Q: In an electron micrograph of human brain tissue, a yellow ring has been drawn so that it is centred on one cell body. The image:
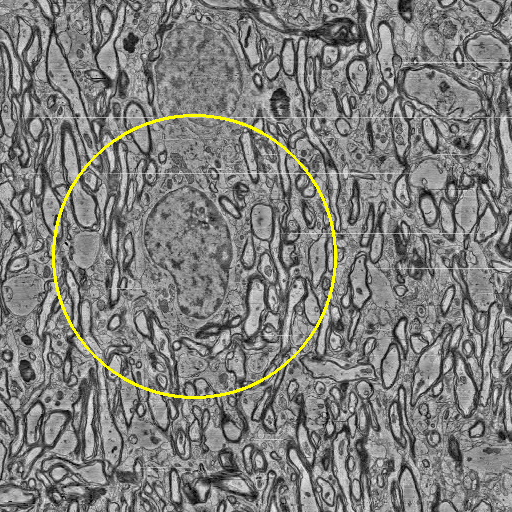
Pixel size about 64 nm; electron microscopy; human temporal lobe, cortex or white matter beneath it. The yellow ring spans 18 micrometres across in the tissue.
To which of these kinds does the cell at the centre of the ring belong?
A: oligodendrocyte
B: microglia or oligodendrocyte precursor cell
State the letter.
B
